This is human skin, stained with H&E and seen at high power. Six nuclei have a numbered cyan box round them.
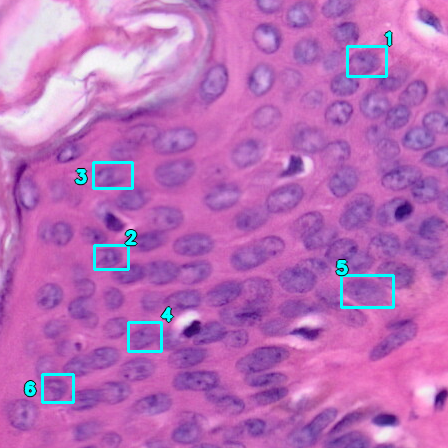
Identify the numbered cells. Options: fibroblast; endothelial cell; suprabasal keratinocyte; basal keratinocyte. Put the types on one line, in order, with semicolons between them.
basal keratinocyte; suprabasal keratinocyte; suprabasal keratinocyte; suprabasal keratinocyte; basal keratinocyte; suprabasal keratinocyte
